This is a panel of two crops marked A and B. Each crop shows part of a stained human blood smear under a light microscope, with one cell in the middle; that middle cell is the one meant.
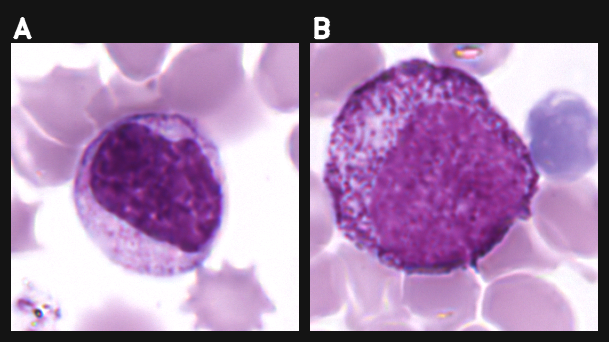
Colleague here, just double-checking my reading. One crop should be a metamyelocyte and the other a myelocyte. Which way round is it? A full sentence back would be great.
While crop A is a metamyelocyte, crop B is a myelocyte.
